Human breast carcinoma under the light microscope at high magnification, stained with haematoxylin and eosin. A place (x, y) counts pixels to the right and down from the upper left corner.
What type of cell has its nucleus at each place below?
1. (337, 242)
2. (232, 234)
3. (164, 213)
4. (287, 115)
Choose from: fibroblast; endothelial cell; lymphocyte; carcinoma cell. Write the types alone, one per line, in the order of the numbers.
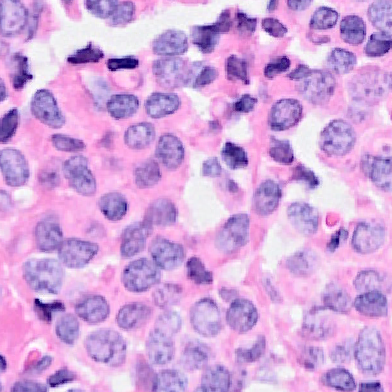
endothelial cell
carcinoma cell
carcinoma cell
carcinoma cell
